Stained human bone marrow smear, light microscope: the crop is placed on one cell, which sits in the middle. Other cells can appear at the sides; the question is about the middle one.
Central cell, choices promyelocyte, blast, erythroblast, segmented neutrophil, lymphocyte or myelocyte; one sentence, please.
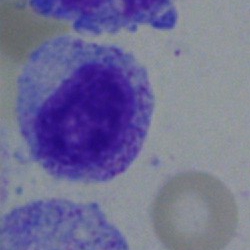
This crop's central cell is a myelocyte.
